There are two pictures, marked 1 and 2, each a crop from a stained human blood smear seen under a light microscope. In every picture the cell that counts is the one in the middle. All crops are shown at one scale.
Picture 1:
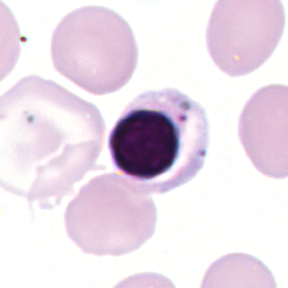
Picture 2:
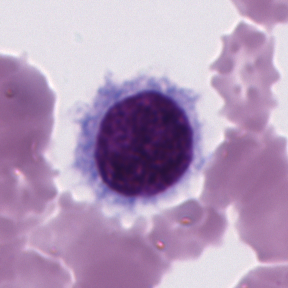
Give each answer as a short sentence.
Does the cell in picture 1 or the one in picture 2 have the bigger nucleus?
The nucleus in picture 2 is larger, with about 2.5 times the area of the one in picture 1.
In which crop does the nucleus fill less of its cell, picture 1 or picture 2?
In picture 1 the nucleus takes up the smaller part of its cell.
